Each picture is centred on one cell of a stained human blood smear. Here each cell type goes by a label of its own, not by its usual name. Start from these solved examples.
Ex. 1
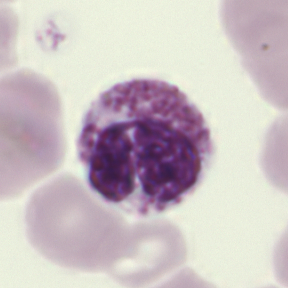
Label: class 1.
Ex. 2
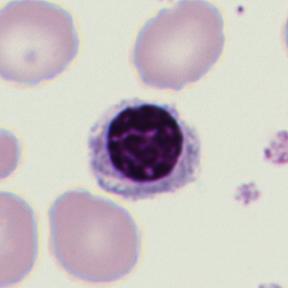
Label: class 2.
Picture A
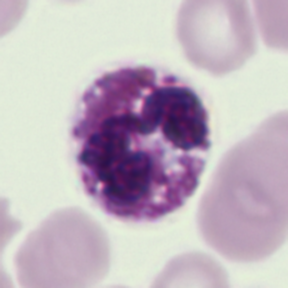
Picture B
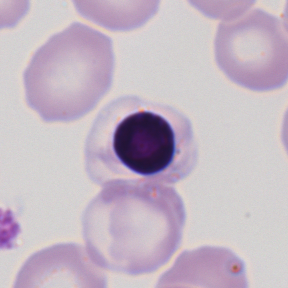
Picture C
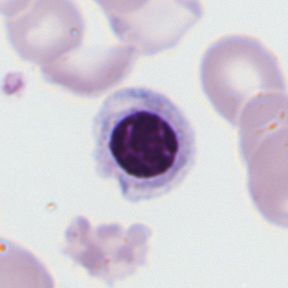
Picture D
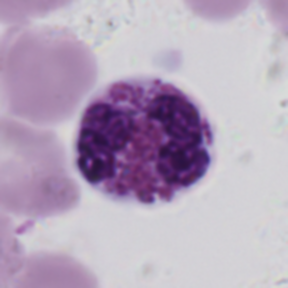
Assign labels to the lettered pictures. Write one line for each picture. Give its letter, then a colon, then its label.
A: class 1.
B: class 2.
C: class 2.
D: class 1.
